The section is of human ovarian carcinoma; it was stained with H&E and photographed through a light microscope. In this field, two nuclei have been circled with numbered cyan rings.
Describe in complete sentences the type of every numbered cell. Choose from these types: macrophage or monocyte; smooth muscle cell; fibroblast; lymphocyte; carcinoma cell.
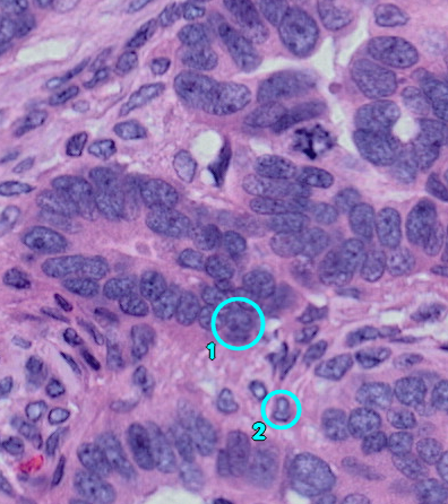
Cell 1 is a carcinoma cell and cell 2 is a fibroblast.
